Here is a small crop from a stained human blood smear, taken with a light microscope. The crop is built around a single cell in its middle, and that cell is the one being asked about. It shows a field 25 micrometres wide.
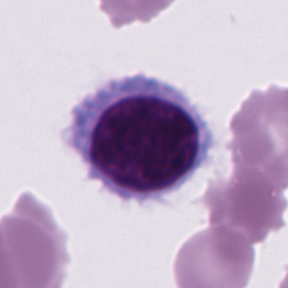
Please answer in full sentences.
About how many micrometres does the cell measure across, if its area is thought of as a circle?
The cell is about 11 micrometres across.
